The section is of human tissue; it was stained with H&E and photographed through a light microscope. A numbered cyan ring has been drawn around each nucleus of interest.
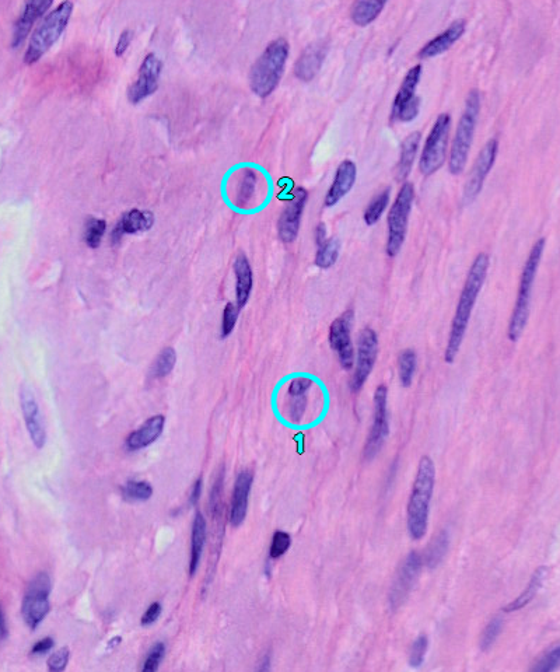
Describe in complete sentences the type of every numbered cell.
Cell 1 is a fibroblast and cell 2 is a smooth muscle cell.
